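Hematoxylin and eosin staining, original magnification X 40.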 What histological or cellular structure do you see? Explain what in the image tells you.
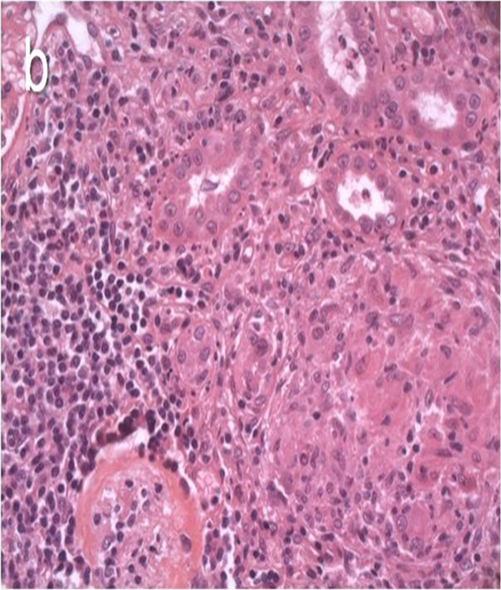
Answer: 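Clusters of large pale pink cells with oval nuclei lie among the infiltrate on the right. Small dark round cells form a dense sheet on the left. The answer: Granuloma.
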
